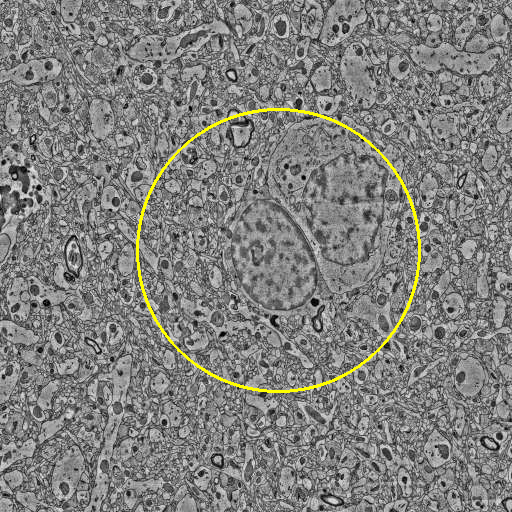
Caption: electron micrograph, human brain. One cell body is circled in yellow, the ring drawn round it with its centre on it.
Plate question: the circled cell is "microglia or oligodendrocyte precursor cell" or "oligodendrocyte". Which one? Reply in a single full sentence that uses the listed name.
The yellow ring on the plate is centred on an oligodendrocyte, going by the listed names.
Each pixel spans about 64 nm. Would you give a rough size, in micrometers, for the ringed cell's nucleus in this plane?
In this plane, approximately 7 by 5 micrometers.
